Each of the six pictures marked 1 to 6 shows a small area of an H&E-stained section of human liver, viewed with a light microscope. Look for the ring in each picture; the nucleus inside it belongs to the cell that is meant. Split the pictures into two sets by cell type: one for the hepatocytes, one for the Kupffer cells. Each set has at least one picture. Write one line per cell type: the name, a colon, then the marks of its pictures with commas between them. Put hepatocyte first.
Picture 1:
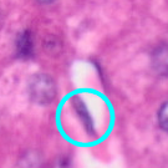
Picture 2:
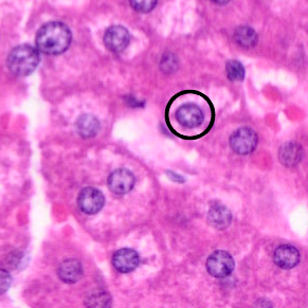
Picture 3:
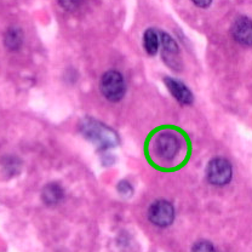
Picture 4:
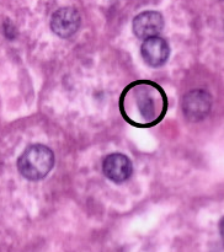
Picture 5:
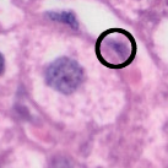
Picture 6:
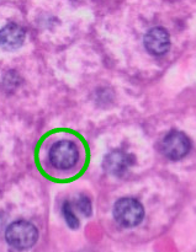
hepatocyte: 2, 3, 6
Kupffer cell: 1, 4, 5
